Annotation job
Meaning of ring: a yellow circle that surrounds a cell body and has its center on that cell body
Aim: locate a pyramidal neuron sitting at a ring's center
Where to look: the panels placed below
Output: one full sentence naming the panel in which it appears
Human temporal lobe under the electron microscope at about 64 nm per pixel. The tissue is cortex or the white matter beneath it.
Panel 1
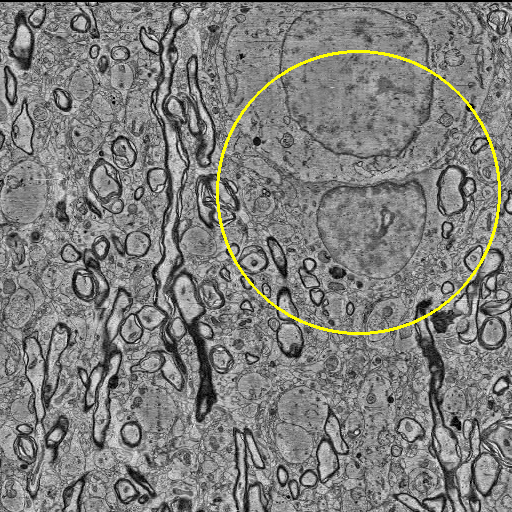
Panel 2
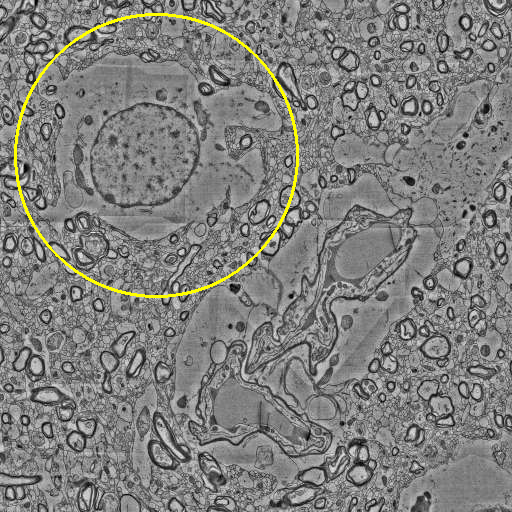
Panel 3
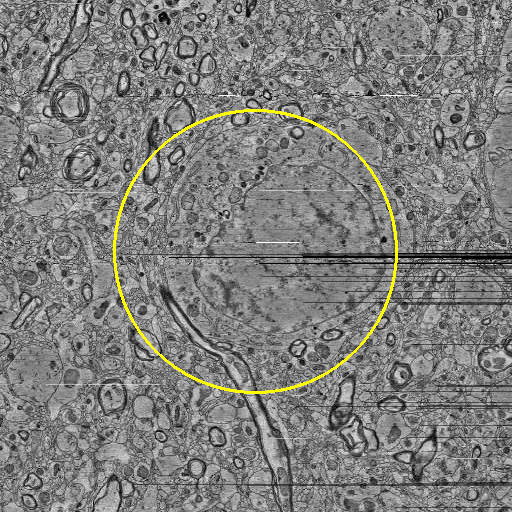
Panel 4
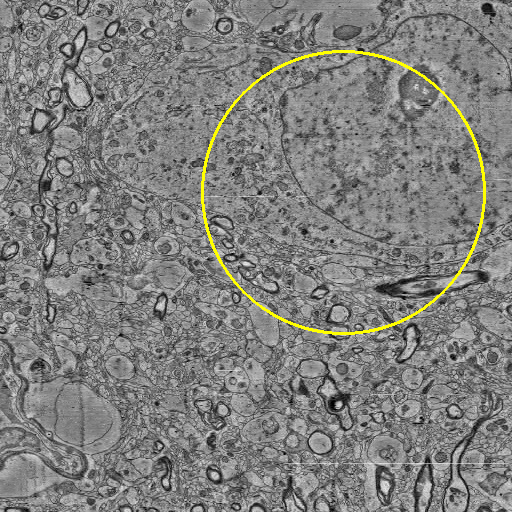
The cell at the center of the ring in panel 4 is the one sought.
